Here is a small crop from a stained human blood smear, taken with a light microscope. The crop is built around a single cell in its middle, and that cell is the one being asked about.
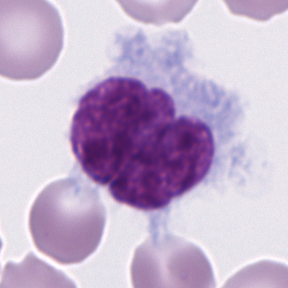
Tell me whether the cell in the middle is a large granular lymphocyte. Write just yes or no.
no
